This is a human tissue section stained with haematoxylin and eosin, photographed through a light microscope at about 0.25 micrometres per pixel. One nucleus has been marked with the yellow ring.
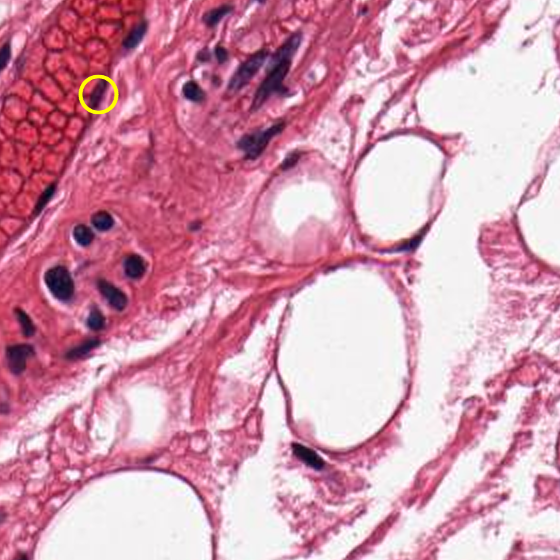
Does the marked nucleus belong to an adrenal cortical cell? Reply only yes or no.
no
